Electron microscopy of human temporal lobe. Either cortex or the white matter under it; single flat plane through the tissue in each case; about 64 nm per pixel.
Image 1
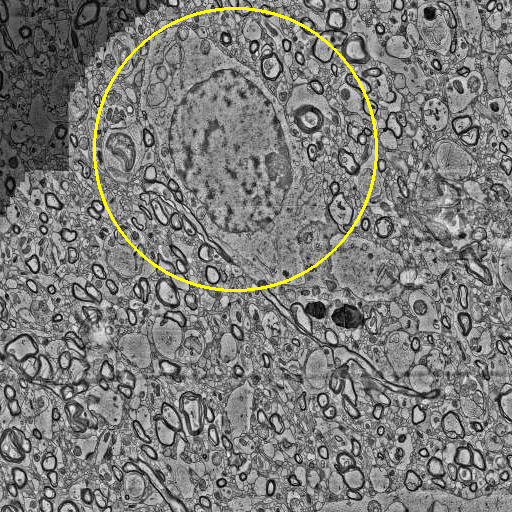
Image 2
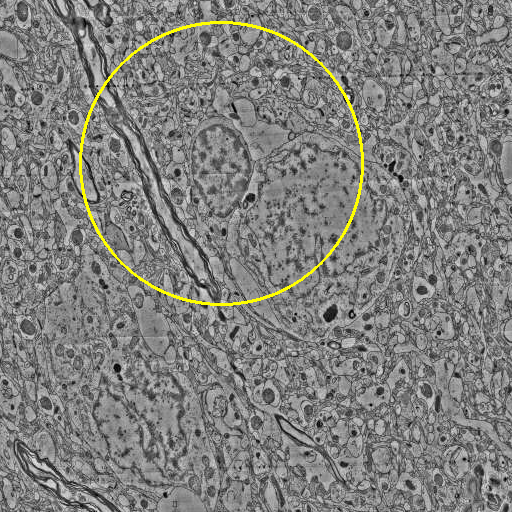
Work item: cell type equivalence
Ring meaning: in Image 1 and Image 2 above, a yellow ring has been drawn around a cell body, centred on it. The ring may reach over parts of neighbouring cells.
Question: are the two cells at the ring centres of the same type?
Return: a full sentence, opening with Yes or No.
No, the two centred cells are of two types.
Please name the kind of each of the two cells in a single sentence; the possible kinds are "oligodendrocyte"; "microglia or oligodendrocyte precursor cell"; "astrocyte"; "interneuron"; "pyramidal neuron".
In the first picture the ring is centred on an interneuron, and in the second on an oligodendrocyte.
